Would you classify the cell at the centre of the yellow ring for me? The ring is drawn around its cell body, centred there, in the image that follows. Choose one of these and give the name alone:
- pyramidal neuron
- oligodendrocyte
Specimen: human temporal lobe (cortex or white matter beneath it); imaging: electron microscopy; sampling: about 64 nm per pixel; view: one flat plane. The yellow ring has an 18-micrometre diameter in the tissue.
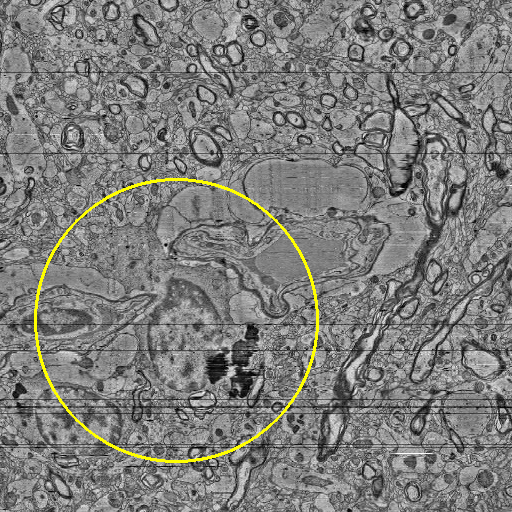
oligodendrocyte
